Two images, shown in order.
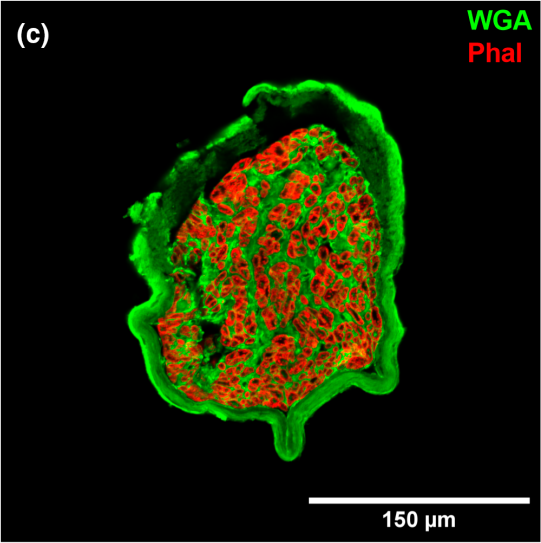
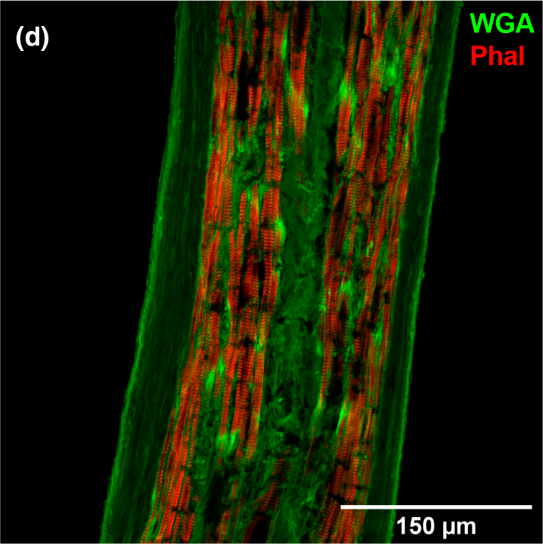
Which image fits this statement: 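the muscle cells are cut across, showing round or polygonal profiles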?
The first image.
